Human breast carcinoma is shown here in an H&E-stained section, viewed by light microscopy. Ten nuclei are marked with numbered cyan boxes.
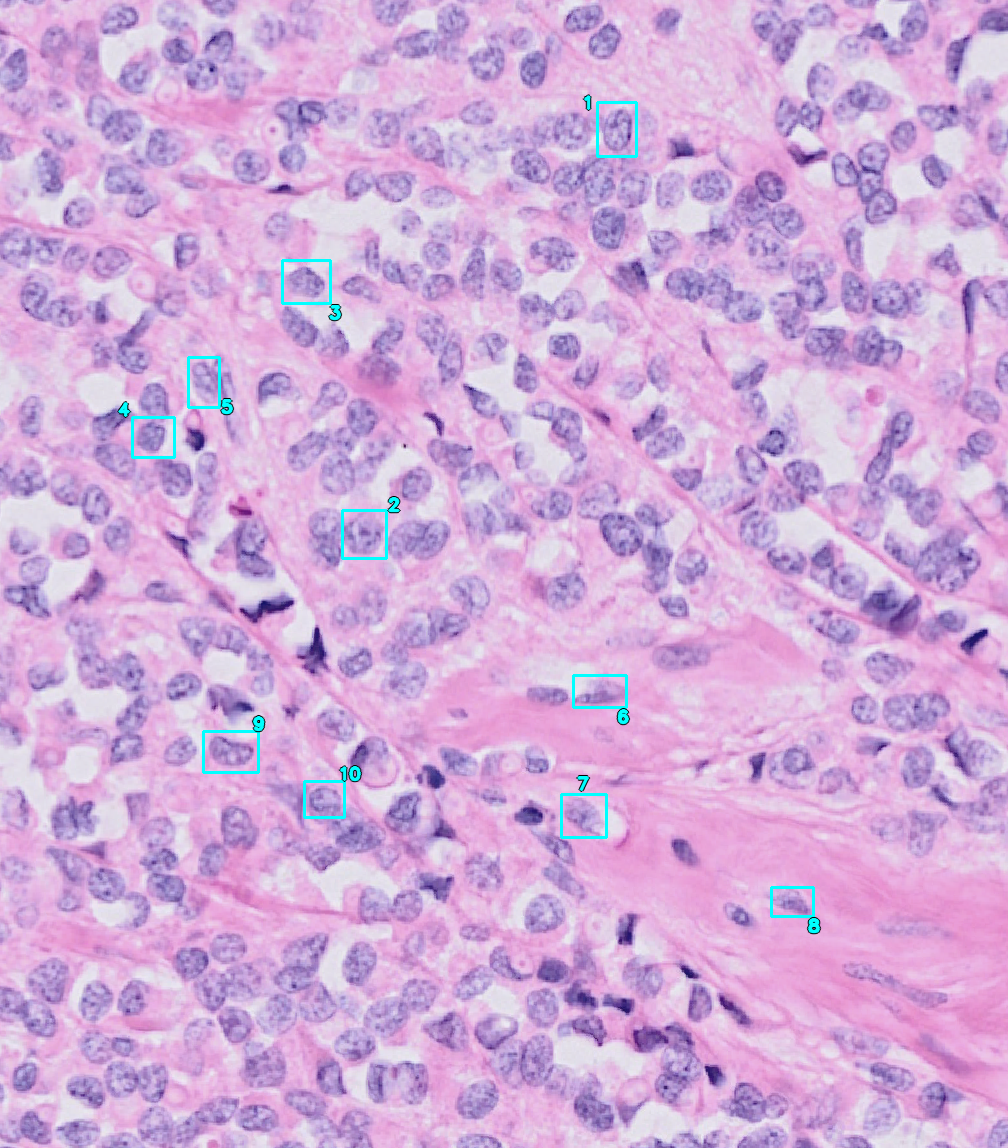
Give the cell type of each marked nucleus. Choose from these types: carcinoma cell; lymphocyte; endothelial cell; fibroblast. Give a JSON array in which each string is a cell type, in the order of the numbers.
["carcinoma cell", "carcinoma cell", "carcinoma cell", "carcinoma cell", "endothelial cell", "endothelial cell", "endothelial cell", "fibroblast", "carcinoma cell", "carcinoma cell"]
